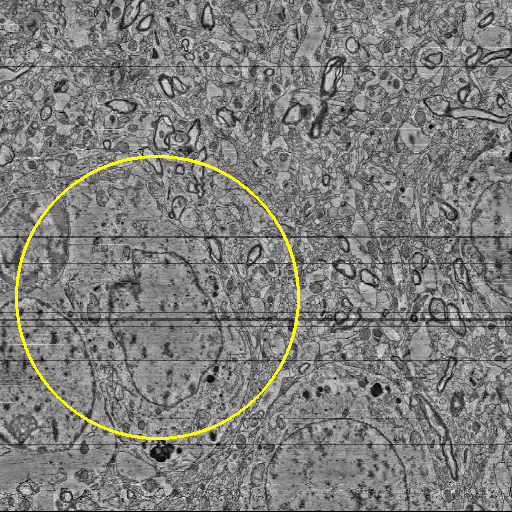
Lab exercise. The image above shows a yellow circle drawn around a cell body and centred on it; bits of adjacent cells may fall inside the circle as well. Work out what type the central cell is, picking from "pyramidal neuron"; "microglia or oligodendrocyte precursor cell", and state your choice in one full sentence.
In the image above, the cell at the centre of the yellow circle is a pyramidal neuron.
